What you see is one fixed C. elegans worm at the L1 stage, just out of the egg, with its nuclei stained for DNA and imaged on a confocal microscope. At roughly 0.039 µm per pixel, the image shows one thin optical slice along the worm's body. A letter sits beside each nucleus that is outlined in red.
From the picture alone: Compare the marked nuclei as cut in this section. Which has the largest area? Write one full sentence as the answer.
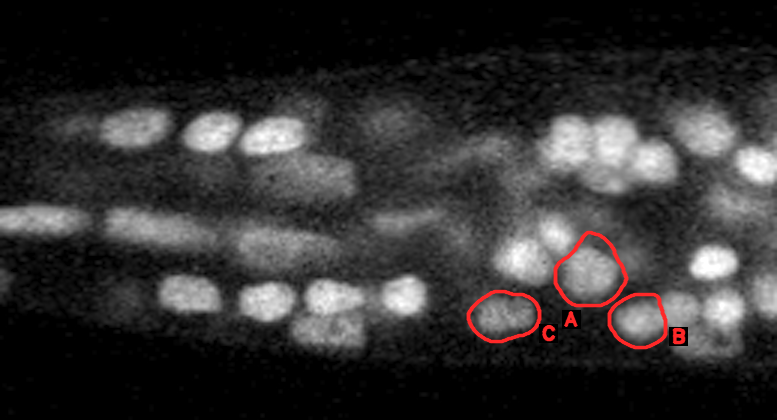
A is the one with the largest cut area.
